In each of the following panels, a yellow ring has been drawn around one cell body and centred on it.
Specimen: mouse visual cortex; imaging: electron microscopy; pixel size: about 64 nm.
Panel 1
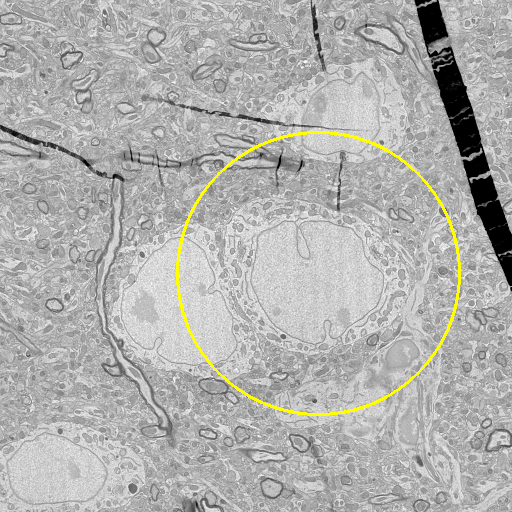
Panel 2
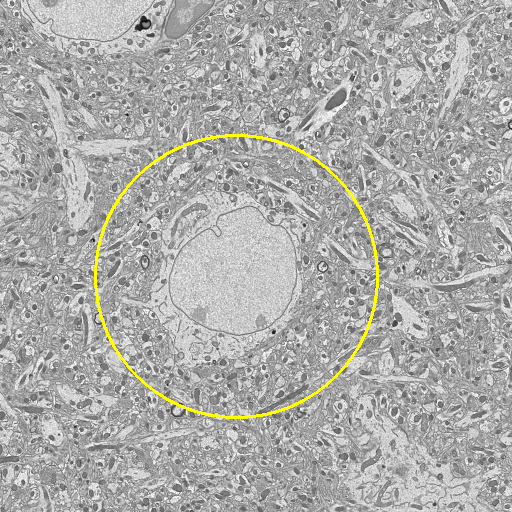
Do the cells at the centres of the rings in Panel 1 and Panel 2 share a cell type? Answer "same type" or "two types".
two types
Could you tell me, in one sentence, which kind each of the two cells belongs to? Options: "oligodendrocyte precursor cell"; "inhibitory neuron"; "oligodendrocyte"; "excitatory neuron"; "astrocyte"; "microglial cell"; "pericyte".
At the centre of the first ring sits an inhibitory neuron, and at the centre of the second sits an excitatory neuron.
